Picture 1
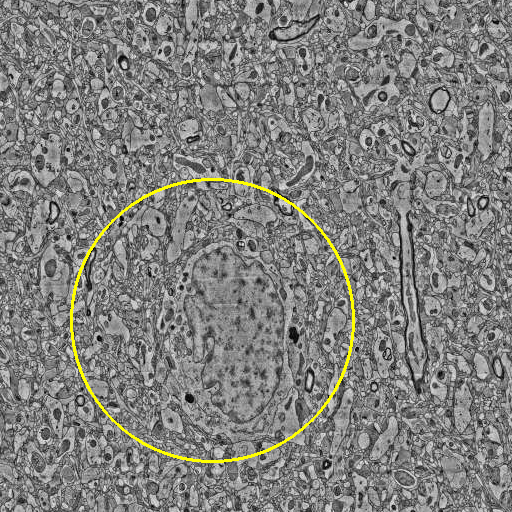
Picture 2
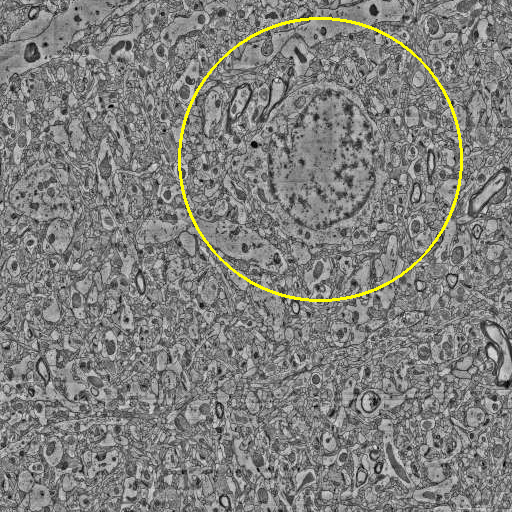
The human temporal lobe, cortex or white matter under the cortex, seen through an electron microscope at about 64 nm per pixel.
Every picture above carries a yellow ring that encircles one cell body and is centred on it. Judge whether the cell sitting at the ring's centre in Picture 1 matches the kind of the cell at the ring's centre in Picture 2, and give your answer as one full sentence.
Yes, the cells centred in the rings of Pictures 1 and 2 belong to one kind.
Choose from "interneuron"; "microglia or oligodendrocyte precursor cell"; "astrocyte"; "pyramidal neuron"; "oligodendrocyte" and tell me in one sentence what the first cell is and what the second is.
Each of the ringed cells, first and second, is an interneuron.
